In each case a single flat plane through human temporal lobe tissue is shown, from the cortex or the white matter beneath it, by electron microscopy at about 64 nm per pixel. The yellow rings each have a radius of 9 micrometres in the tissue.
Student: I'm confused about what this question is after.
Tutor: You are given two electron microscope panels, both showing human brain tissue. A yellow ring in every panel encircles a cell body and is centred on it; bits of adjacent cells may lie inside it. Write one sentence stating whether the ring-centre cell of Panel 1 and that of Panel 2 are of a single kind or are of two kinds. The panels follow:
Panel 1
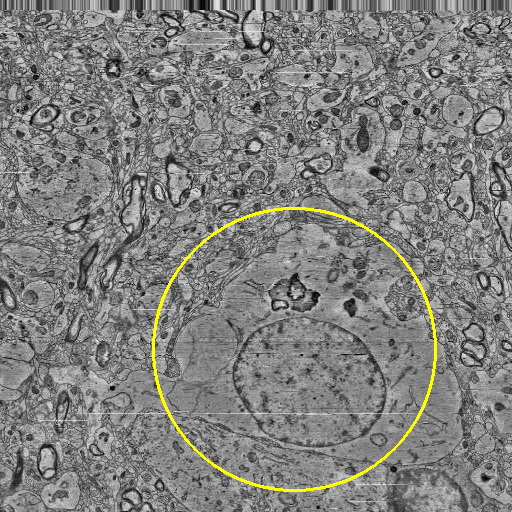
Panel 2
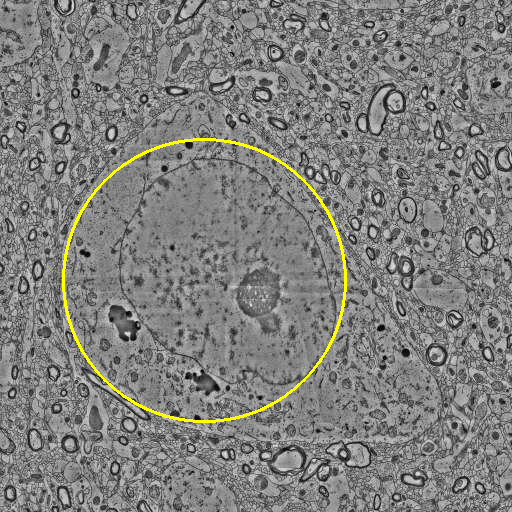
Here, the Panel 1 ring-centre cell and the Panel 2 ring-centre cell are of two kinds.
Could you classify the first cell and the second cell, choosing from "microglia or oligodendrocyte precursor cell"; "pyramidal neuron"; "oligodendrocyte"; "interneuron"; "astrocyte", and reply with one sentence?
The second cell is a pyramidal neuron, while the first is an astrocyte.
